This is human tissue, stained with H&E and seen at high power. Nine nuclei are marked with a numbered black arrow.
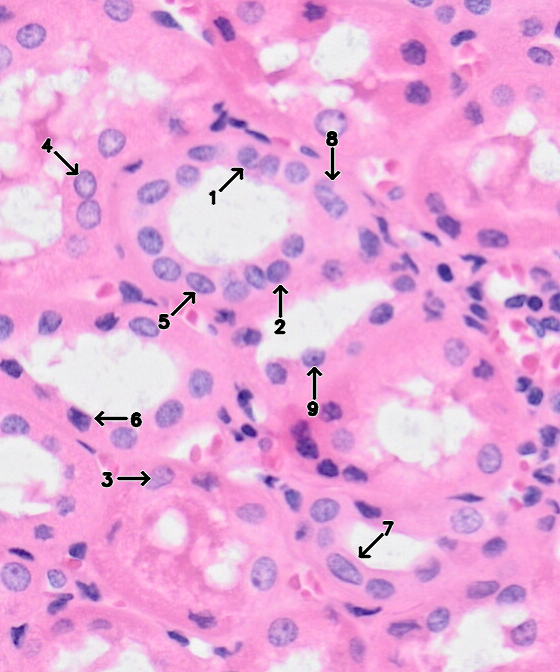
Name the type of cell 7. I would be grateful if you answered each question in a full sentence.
The numbered cell 7 is identified here as a collecting duct cell.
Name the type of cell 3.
Among the marked nuclei, number 3 belongs to a proximal tubule cell.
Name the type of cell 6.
In the marked set, the cell given number 6 is a loop of Henle or distal tubule cell.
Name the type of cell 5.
Cell 5 should be recorded as a collecting duct cell.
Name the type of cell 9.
Recognised here as a loop of Henle or distal tubule cell is the cell numbered 9.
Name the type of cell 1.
Nucleus 1 in this section belongs to a collecting duct cell.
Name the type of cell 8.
Identified by the number 8, the cell is a collecting duct cell.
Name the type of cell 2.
The correct answer for cell 2 is a collecting duct cell.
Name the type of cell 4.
The cell that is numbered 4 is a proximal tubule cell.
